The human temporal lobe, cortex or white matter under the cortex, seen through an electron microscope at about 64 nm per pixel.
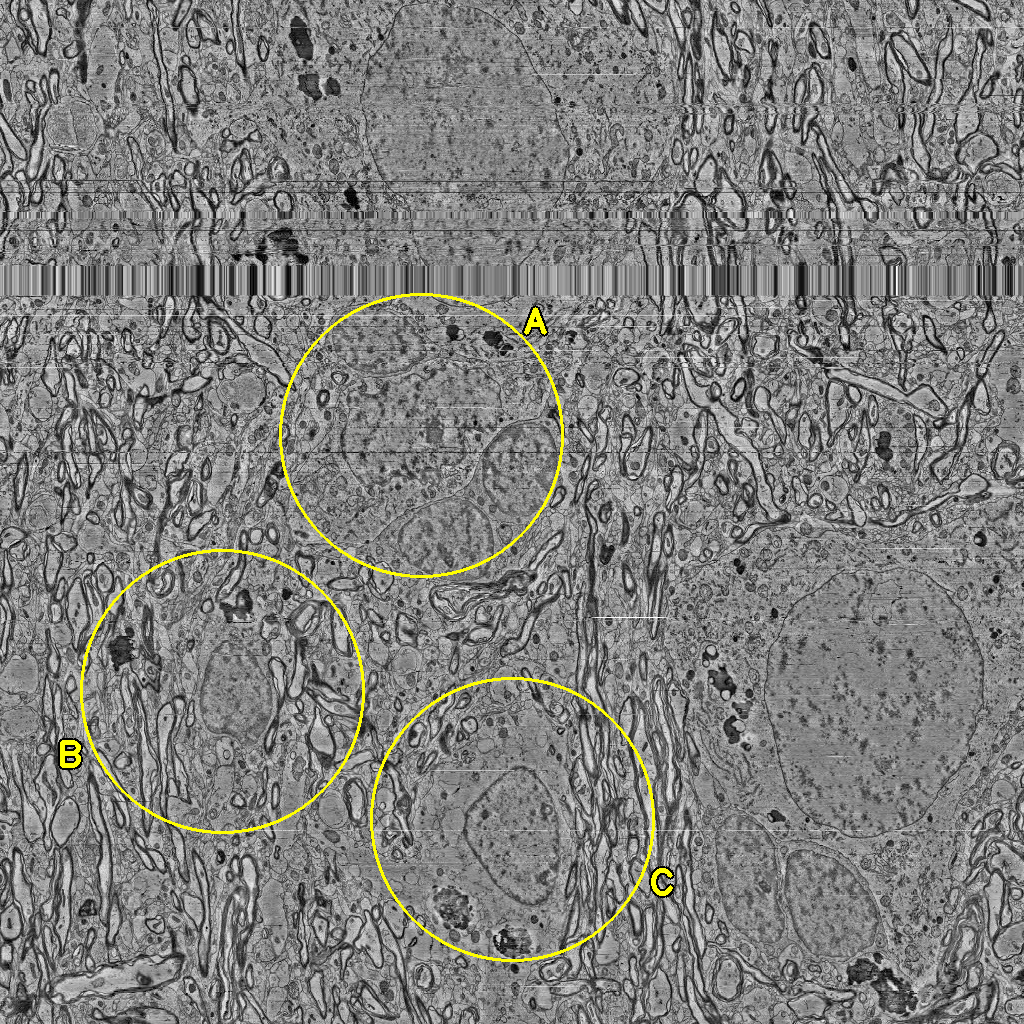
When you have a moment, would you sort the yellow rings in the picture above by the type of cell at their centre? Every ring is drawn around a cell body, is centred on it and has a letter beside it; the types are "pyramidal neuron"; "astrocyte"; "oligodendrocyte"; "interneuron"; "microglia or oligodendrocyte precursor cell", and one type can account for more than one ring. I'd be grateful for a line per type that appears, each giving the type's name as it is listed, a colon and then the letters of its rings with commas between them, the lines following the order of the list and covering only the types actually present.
astrocyte: C
oligodendrocyte: B
interneuron: A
